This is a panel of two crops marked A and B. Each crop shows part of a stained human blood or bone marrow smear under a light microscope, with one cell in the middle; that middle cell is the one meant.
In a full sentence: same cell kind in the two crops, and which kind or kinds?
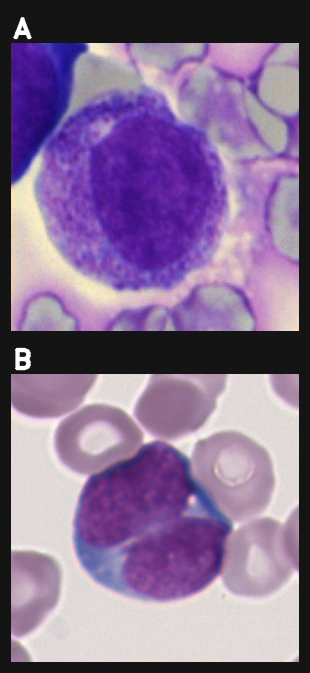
No, it is crop A that shows a promyelocyte, and crop B shows a blast.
